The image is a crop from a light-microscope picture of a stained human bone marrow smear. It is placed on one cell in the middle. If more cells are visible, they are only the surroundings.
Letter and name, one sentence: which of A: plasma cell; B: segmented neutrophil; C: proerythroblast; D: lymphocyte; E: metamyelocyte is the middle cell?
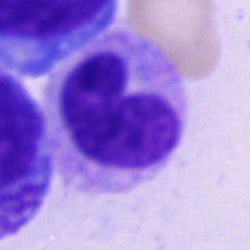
That middle cell is a metamyelocyte, and option E is therefore correct.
